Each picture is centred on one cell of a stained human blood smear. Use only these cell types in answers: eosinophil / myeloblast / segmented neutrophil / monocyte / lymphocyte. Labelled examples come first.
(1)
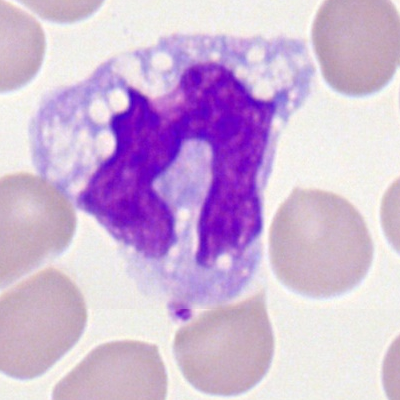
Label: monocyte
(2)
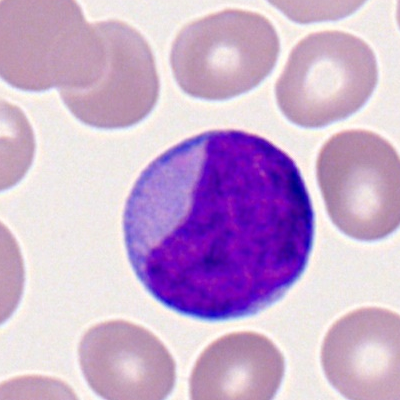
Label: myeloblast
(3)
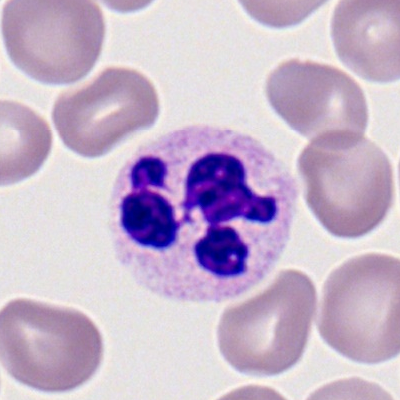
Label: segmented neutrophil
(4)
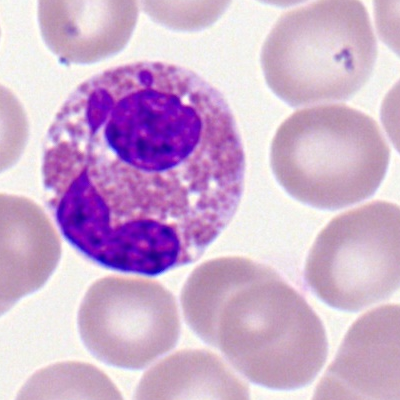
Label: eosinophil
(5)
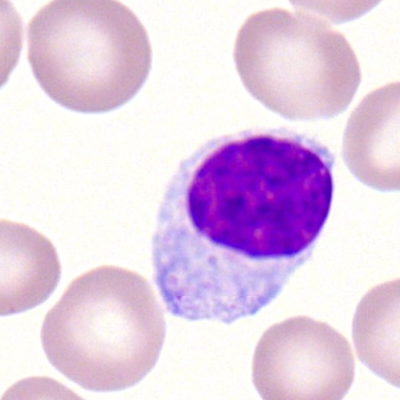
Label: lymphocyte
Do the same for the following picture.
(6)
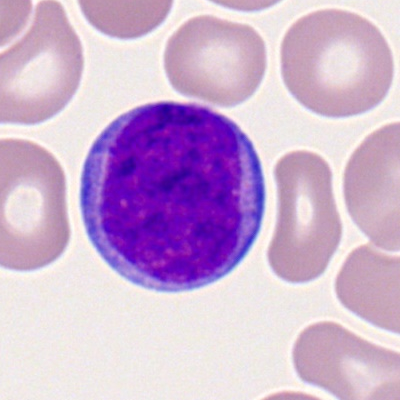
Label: myeloblast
